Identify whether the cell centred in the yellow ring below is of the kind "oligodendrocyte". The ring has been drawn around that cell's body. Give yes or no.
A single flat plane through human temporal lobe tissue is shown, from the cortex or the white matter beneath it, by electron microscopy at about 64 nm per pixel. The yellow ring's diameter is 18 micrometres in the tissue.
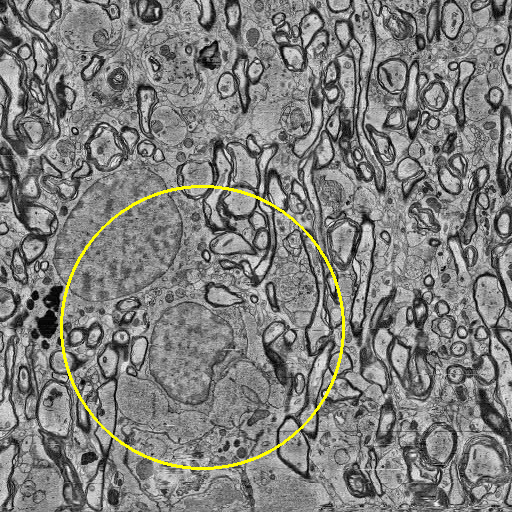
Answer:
yes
